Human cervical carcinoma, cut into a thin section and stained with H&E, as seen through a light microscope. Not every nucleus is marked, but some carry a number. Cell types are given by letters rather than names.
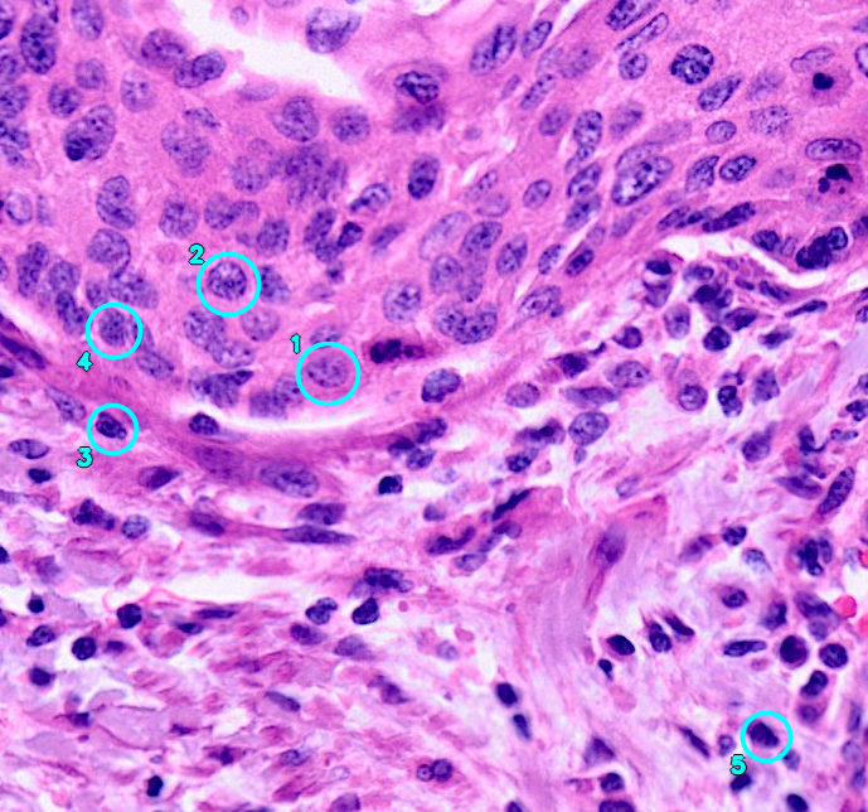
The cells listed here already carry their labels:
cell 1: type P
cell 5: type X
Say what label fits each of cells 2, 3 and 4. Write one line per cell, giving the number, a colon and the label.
2: type P
3: type X
4: type P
